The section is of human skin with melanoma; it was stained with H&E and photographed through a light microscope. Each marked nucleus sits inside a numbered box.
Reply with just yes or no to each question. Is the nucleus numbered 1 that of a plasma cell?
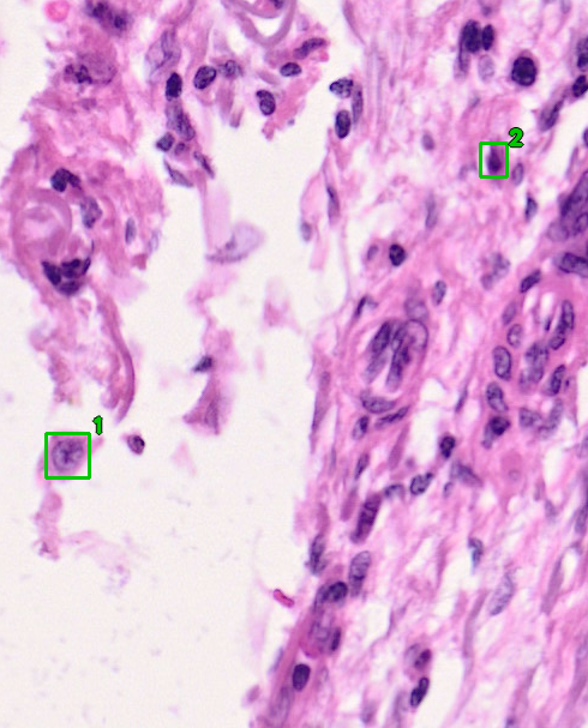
no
